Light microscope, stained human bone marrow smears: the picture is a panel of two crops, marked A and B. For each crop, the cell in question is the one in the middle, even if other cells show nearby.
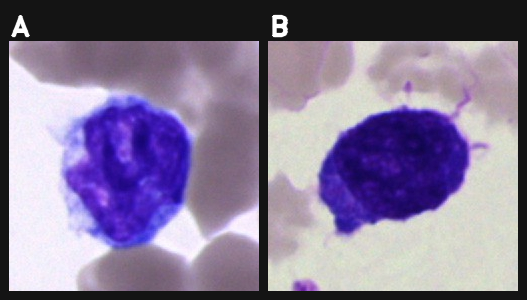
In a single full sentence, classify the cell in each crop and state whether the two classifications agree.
No, crop A holds a monocyte, and a blast occupies crop B.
